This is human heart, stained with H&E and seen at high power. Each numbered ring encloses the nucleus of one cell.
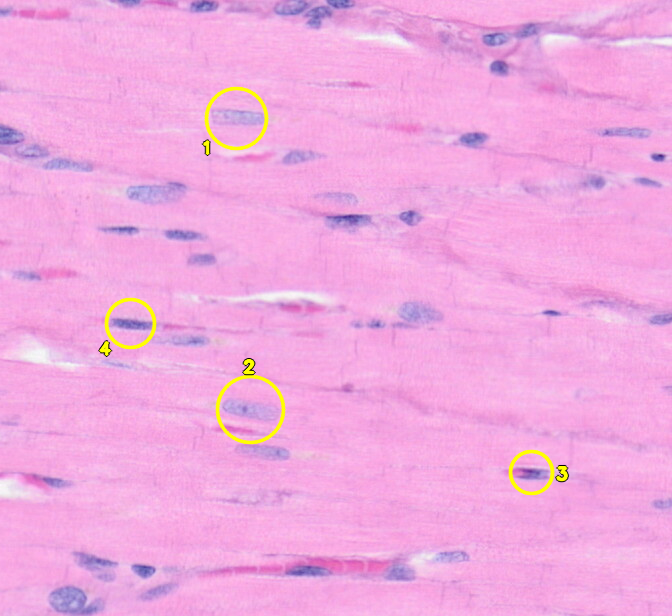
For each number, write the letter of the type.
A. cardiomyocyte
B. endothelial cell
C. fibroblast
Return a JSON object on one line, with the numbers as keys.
{"1": "A", "2": "A", "3": "B", "4": "B"}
